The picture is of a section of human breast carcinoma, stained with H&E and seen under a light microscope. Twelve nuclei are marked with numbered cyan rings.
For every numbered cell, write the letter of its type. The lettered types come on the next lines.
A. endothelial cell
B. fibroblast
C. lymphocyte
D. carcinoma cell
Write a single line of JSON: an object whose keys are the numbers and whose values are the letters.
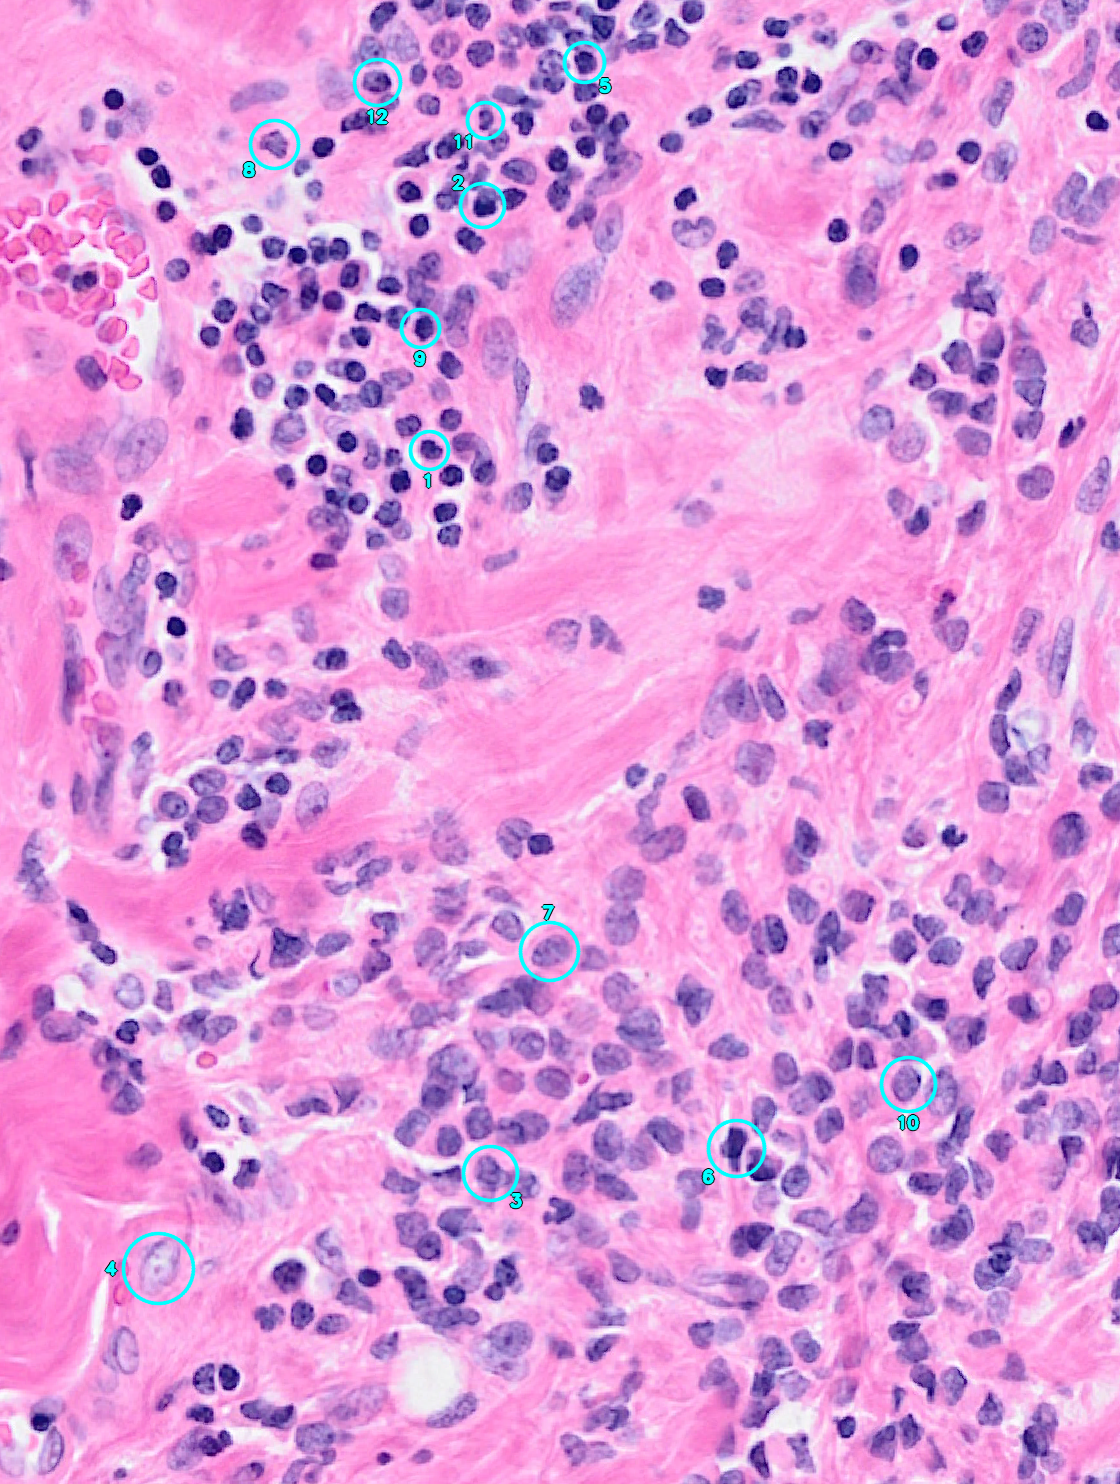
{"1": "C", "2": "C", "3": "D", "4": "A", "5": "C", "6": "D", "7": "D", "8": "C", "9": "C", "10": "D", "11": "C", "12": "C"}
